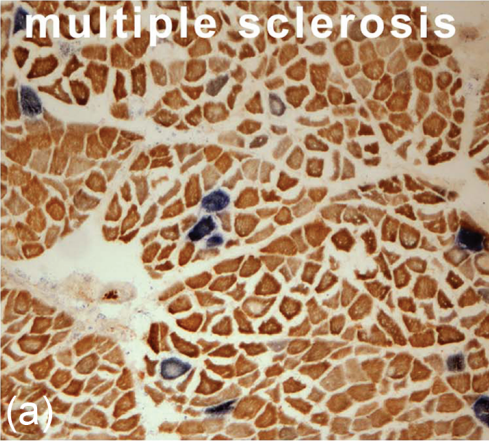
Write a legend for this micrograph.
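This is a cross-section of muscle, with many small polygonal muscle fibres cut across and grouped into fascicles. Wide pale strands of connective tissue separate the fascicles. Most fibres are stained brown, with varying intensity, and some look paler than their neighbours. A few fibres here and there are stained blue or blue-grey rather than brown.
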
